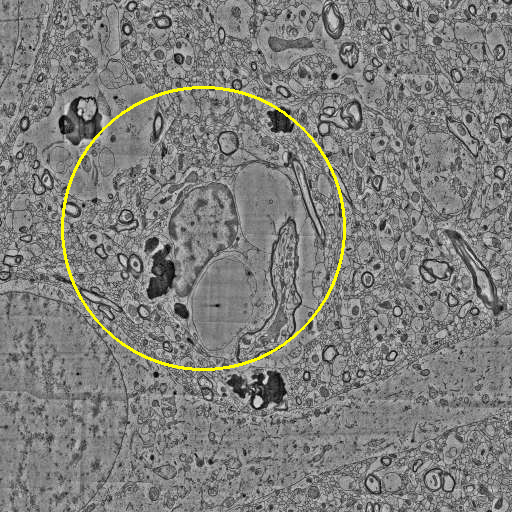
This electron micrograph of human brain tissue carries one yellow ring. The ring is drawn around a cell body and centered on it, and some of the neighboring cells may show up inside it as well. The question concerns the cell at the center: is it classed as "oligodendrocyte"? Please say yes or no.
No, it is classed as another kind.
